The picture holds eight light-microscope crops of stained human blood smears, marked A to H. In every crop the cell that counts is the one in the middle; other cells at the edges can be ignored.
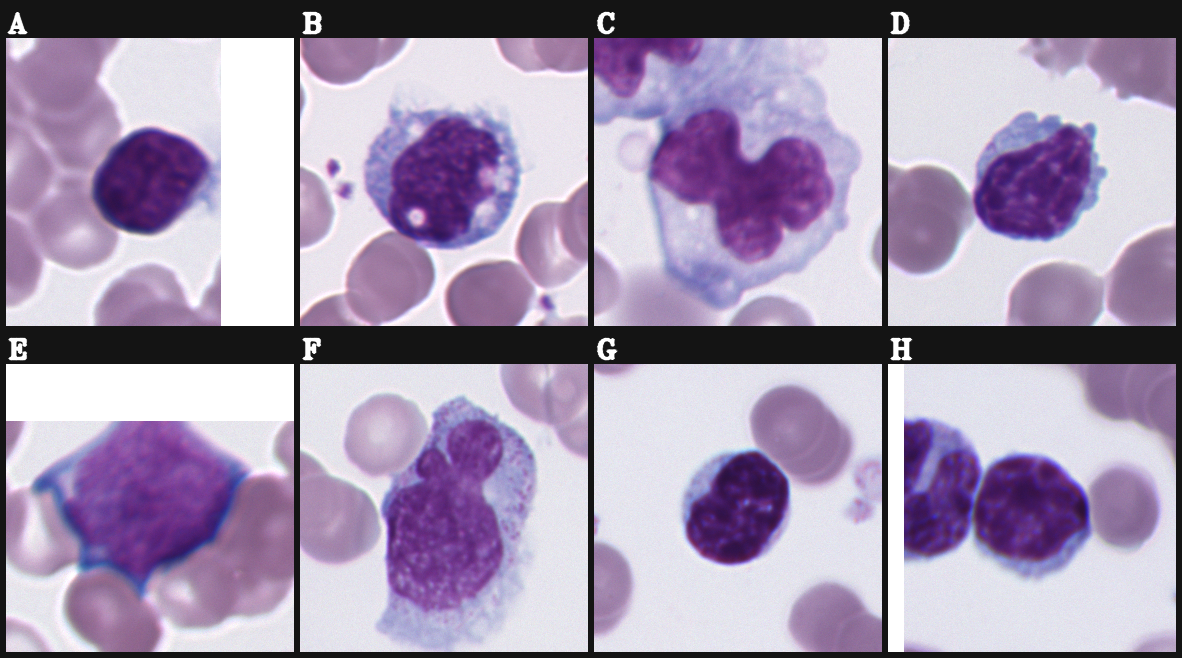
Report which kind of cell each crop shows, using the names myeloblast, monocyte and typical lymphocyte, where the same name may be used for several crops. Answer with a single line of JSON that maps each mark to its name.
{"A": "typical lymphocyte", "B": "monocyte", "C": "monocyte", "D": "typical lymphocyte", "E": "myeloblast", "F": "myeloblast", "G": "typical lymphocyte", "H": "typical lymphocyte"}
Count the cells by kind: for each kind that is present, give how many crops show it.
typical lymphocyte: 4
monocyte: 2
myeloblast: 2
